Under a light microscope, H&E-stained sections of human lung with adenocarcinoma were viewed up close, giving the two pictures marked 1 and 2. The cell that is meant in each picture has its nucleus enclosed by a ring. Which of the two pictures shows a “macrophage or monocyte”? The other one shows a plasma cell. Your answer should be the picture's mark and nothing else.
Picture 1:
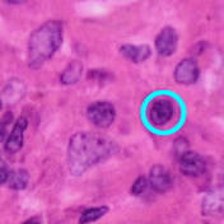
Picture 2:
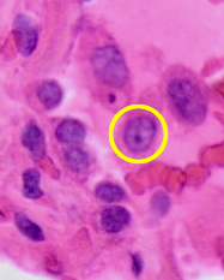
2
